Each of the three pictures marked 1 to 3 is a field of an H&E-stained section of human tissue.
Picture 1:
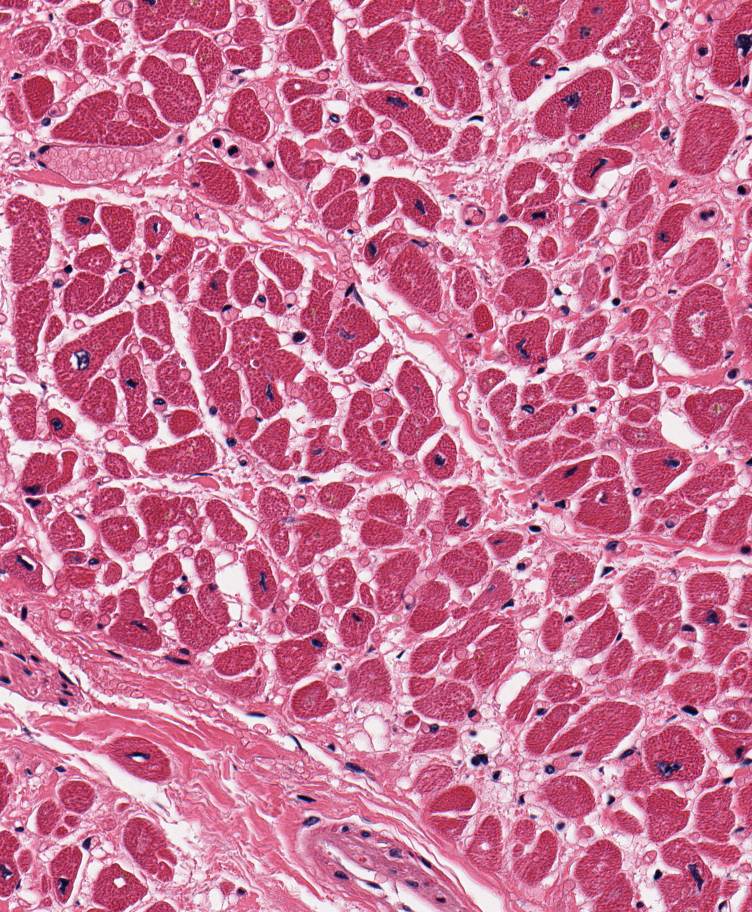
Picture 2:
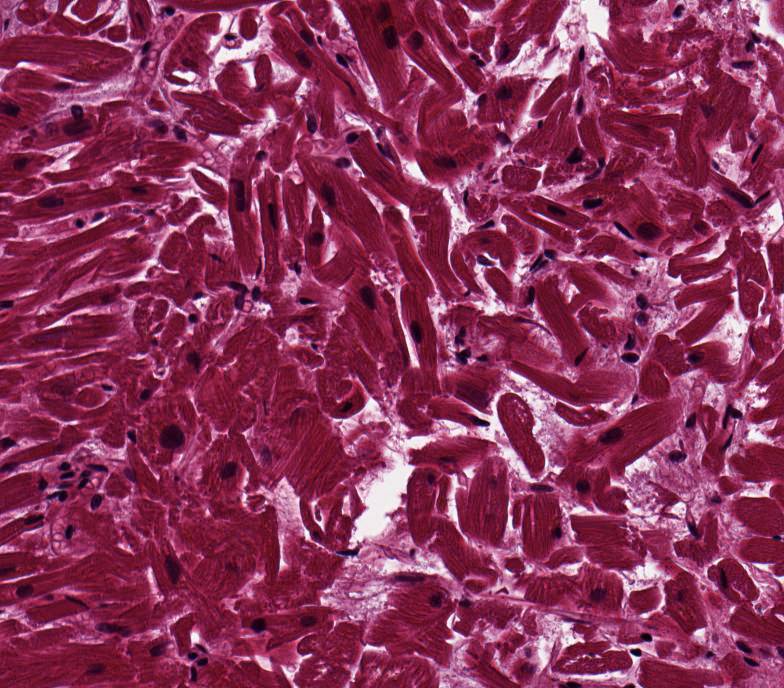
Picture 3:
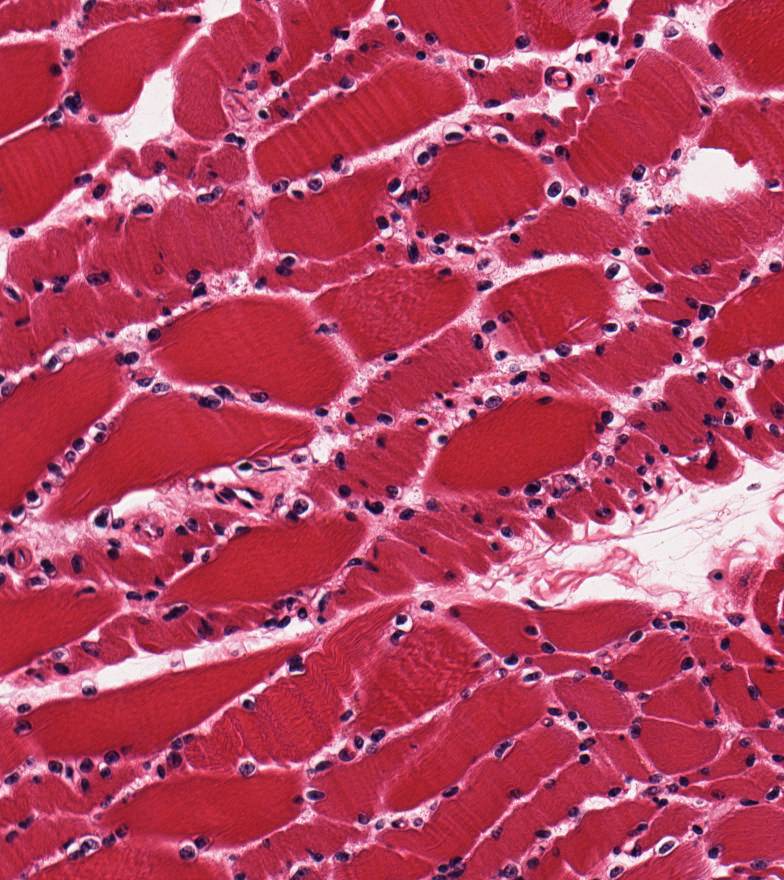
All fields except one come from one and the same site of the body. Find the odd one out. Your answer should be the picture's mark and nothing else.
3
